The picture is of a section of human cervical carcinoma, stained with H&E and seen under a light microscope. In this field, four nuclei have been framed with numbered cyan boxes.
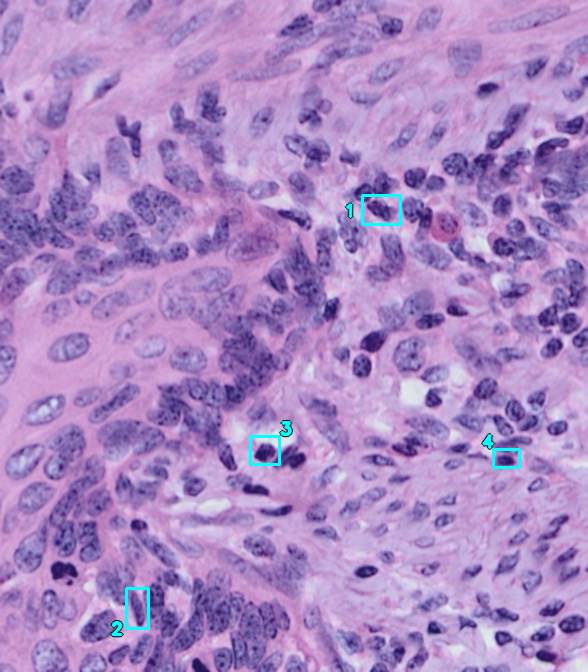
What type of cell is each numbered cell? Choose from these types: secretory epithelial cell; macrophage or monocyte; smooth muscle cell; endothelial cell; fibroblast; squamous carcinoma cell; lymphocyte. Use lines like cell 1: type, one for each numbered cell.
cell 1: lymphocyte
cell 2: squamous carcinoma cell
cell 3: lymphocyte
cell 4: lymphocyte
